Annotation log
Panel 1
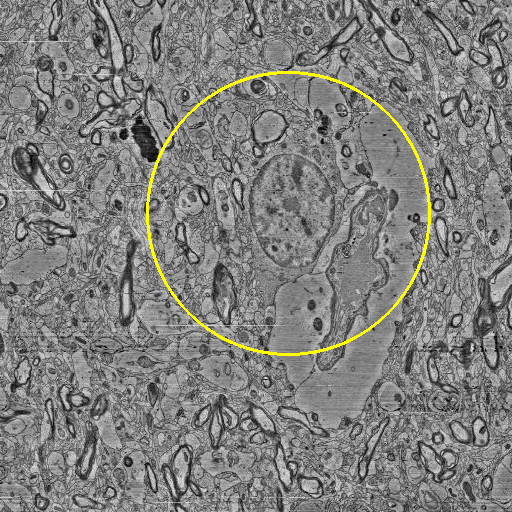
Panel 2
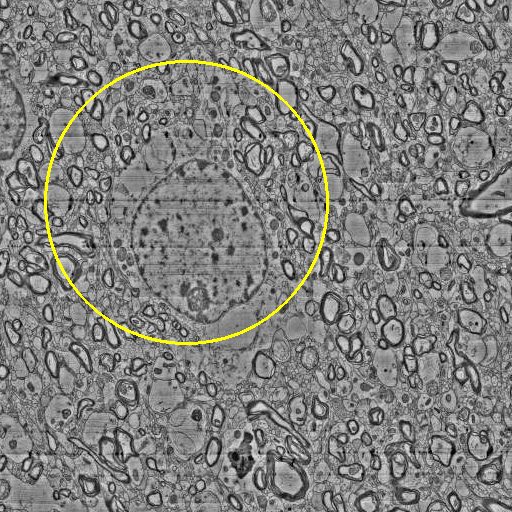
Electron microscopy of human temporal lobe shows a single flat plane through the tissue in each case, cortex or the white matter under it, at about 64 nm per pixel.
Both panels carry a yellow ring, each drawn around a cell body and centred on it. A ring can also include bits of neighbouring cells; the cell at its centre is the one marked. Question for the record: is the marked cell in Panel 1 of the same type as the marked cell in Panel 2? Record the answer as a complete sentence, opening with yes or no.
No, the marked cells in Panel 1 and Panel 2 are of two types.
